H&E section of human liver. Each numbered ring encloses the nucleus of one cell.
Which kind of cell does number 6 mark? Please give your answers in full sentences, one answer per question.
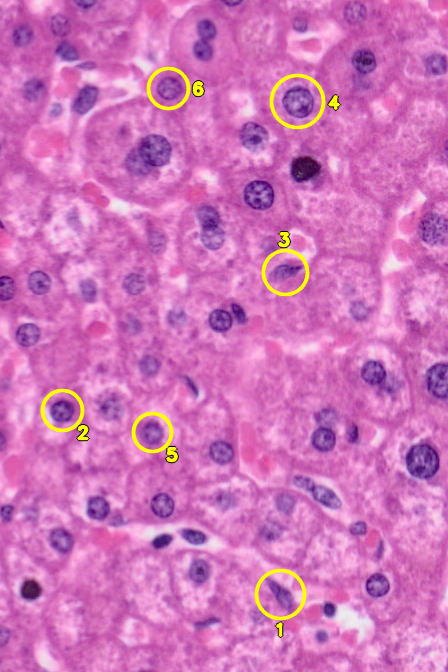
The nucleus with number 6 is that of a hepatocyte.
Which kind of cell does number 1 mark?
The cell pointed out by number 1 is a Kupffer cell.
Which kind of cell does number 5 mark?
The cell pointed out as number 5 is a hepatocyte.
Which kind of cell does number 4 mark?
The correct label for cell 4 is a hepatocyte.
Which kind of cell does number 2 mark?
Cell 2 of the marked set is a hepatocyte.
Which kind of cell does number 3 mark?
Belonging to an endothelial cell is the nucleus that carries the number 3.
